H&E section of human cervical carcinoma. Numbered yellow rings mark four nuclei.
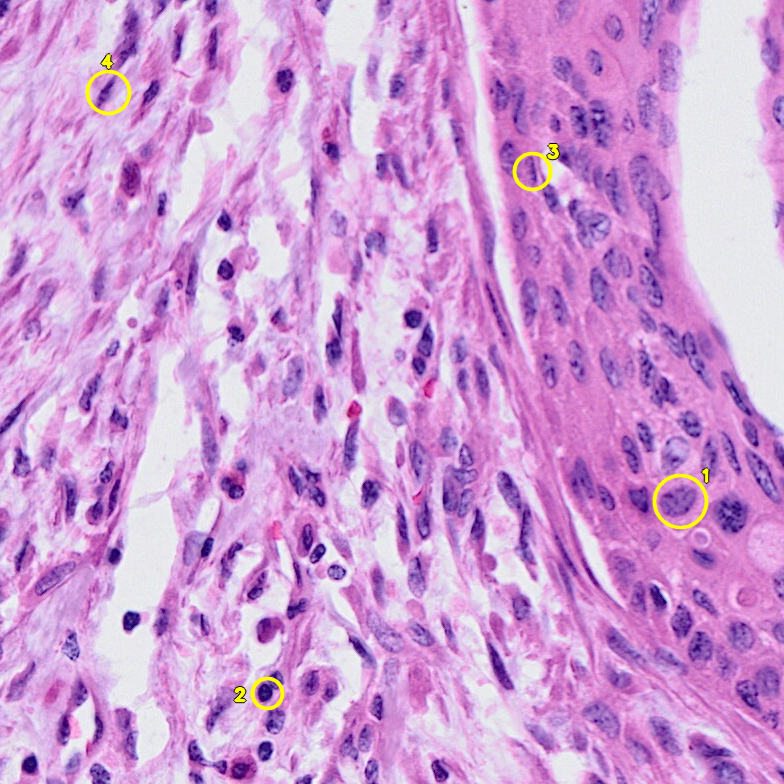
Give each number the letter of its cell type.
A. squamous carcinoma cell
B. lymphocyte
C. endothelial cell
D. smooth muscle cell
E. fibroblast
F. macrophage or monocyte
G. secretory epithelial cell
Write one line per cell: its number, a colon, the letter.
1: A
2: B
3: A
4: E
